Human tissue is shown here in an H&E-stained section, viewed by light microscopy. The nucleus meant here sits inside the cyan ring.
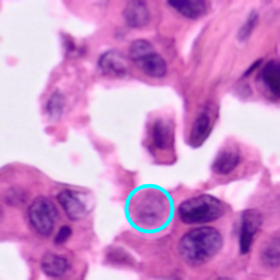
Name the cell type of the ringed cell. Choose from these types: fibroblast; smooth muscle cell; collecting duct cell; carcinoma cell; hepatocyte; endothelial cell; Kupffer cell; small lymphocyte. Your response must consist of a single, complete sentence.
In this tissue section, the ringed cell is to be classed as a carcinoma cell.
